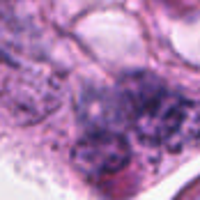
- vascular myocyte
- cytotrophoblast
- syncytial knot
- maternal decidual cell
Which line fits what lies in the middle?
cytotrophoblast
